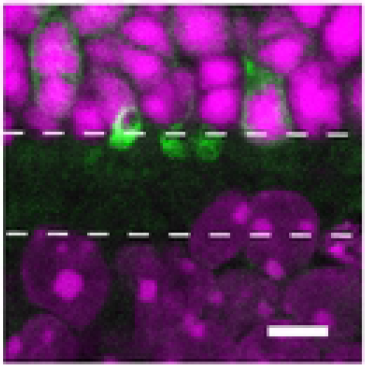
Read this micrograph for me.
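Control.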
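This is a strip of retina showing rod photoreceptors, a few of which are labeled in green, with their small round spherule terminals. In the upper part, densely packed magenta nuclei crowd together with little space between them. Below them runs a dark band, marked off by two dashed lines, that holds almost no nuclei. Under the dark band the nuclei are larger, rounder and paler, with bright magenta spots inside.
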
